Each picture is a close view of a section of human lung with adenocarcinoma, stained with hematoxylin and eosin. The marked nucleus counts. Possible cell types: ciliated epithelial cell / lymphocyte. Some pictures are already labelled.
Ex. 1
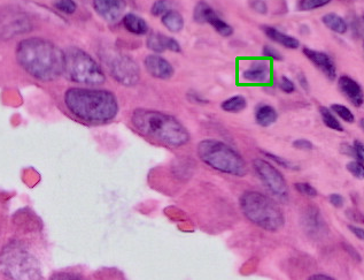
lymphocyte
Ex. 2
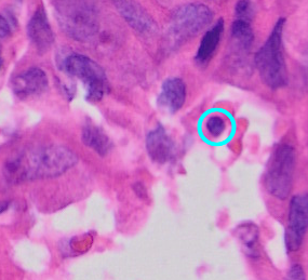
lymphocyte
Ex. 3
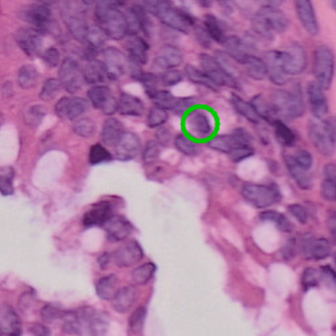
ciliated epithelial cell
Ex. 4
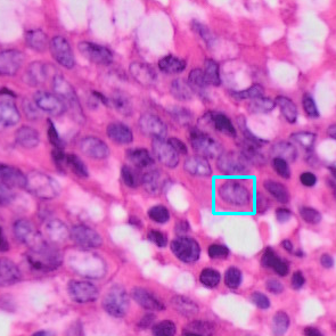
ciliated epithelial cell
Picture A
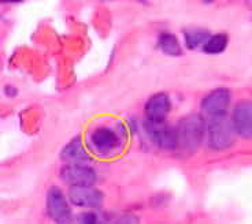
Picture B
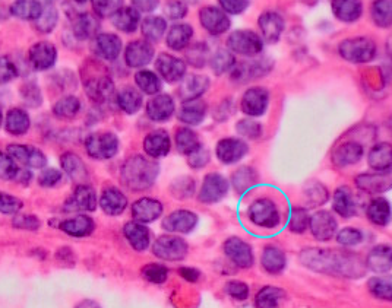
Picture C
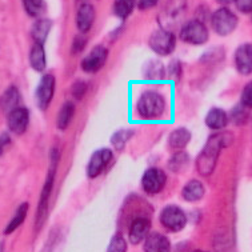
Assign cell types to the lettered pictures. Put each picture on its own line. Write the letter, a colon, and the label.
A: ciliated epithelial cell
B: lymphocyte
C: lymphocyte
